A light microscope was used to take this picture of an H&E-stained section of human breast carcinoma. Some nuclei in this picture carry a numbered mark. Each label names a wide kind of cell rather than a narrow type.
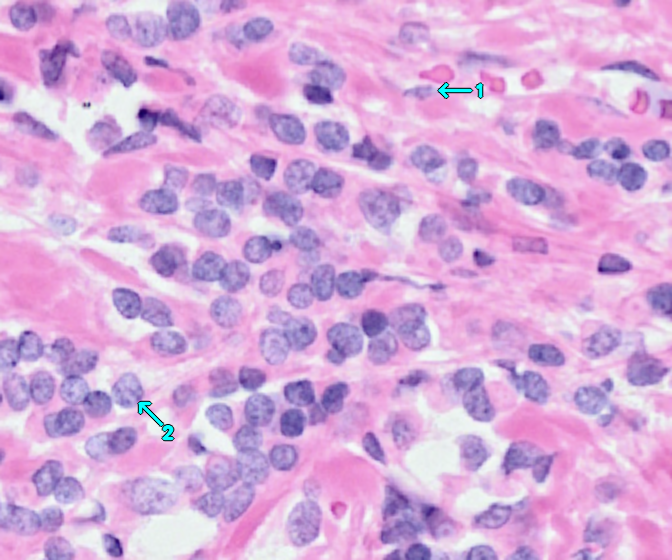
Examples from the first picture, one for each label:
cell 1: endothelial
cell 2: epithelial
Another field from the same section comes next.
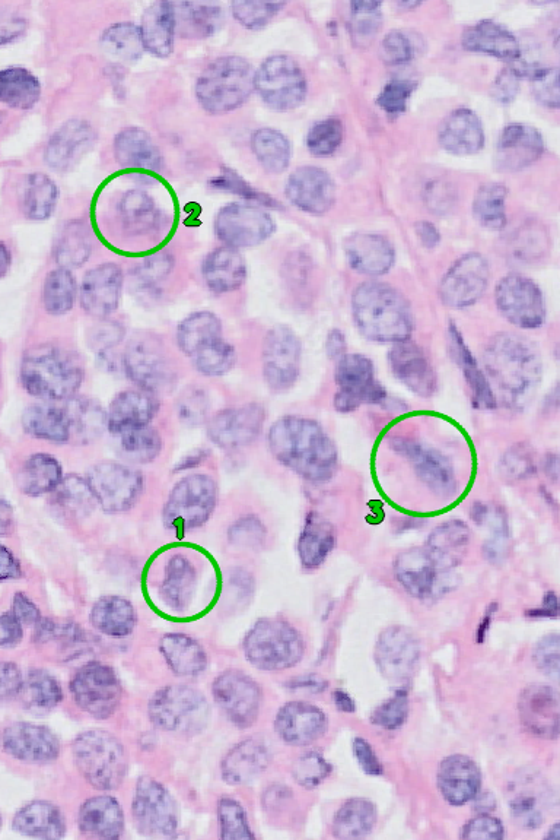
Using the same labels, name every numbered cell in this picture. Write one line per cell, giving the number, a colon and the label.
1: epithelial
2: epithelial
3: endothelial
